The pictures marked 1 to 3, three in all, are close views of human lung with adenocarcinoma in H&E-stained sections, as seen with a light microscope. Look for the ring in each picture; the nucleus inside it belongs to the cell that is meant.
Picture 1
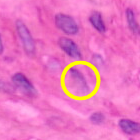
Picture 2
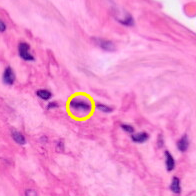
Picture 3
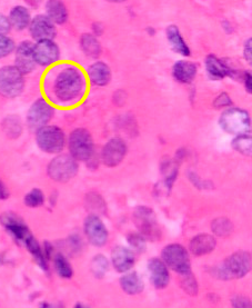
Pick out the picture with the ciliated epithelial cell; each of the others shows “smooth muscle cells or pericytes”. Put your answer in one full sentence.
The picture with the ciliated epithelial cell is 3.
